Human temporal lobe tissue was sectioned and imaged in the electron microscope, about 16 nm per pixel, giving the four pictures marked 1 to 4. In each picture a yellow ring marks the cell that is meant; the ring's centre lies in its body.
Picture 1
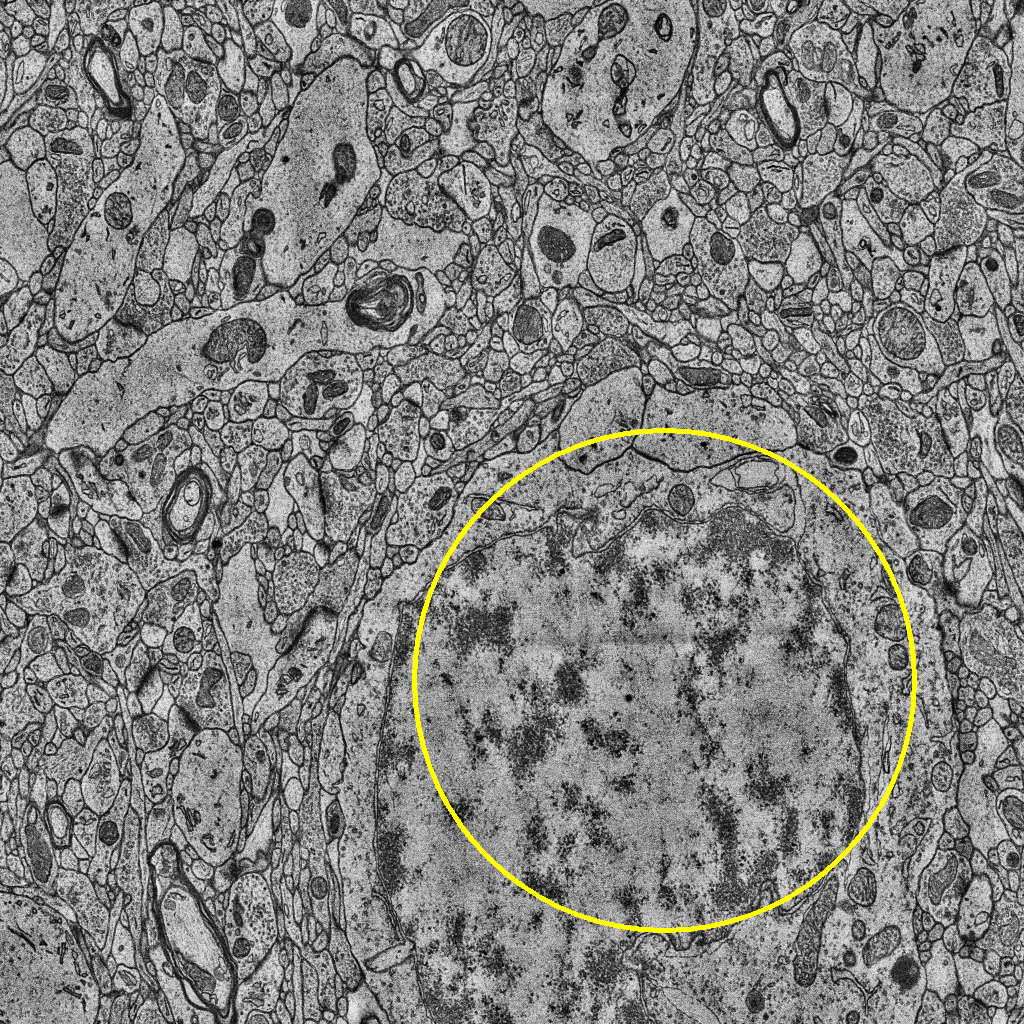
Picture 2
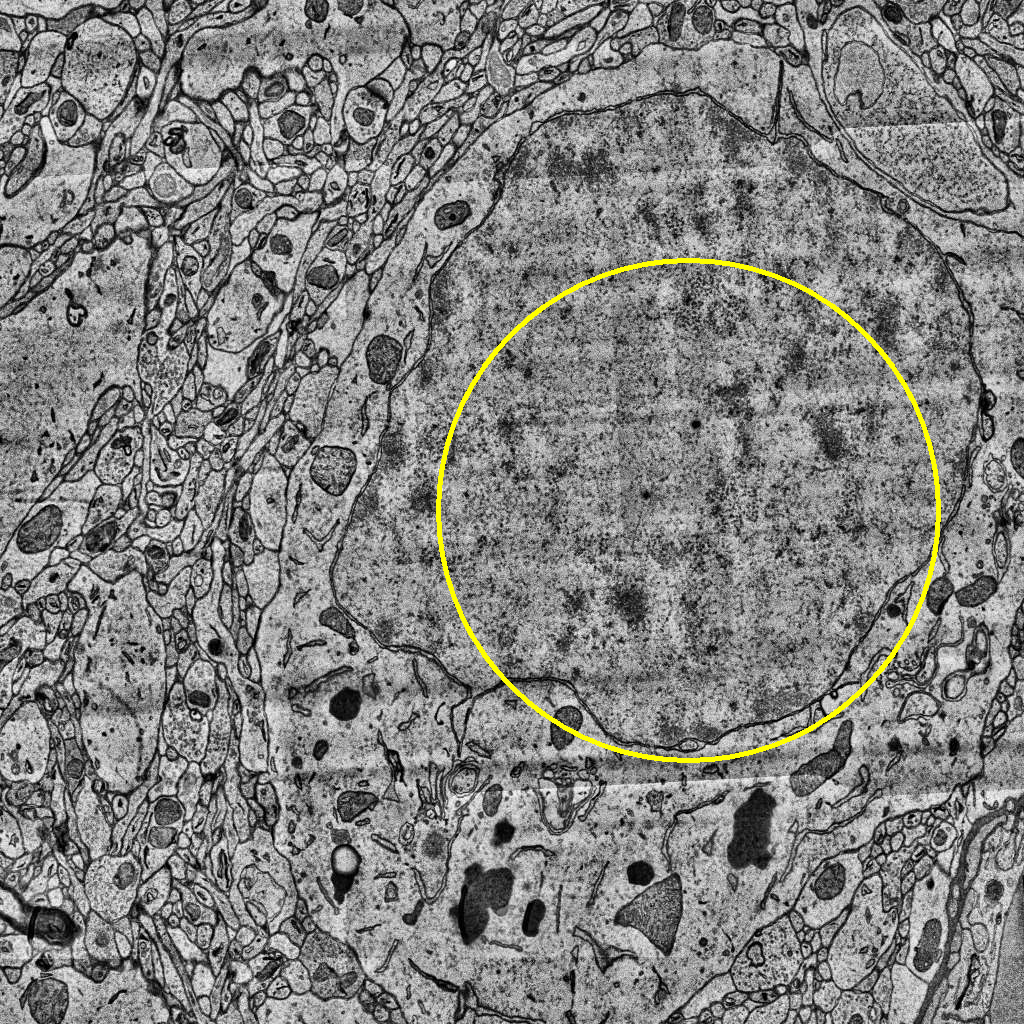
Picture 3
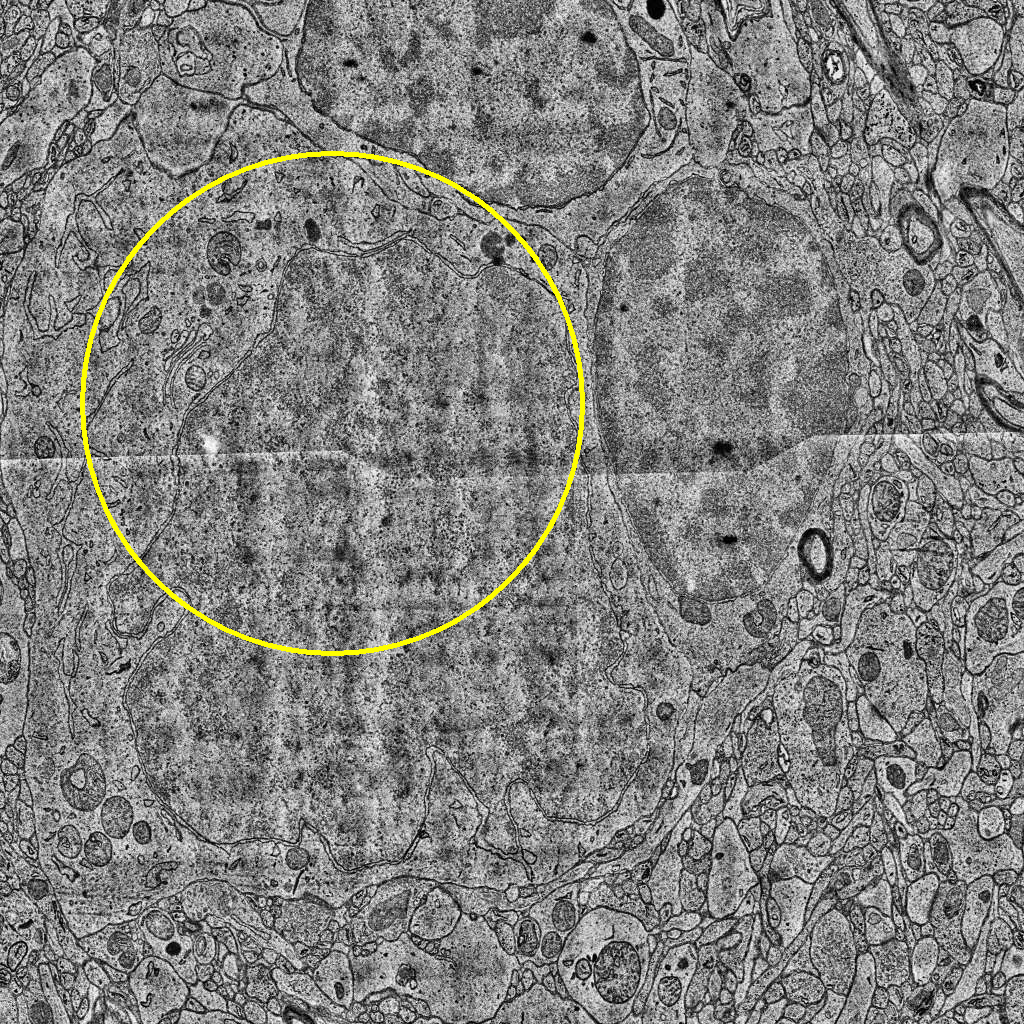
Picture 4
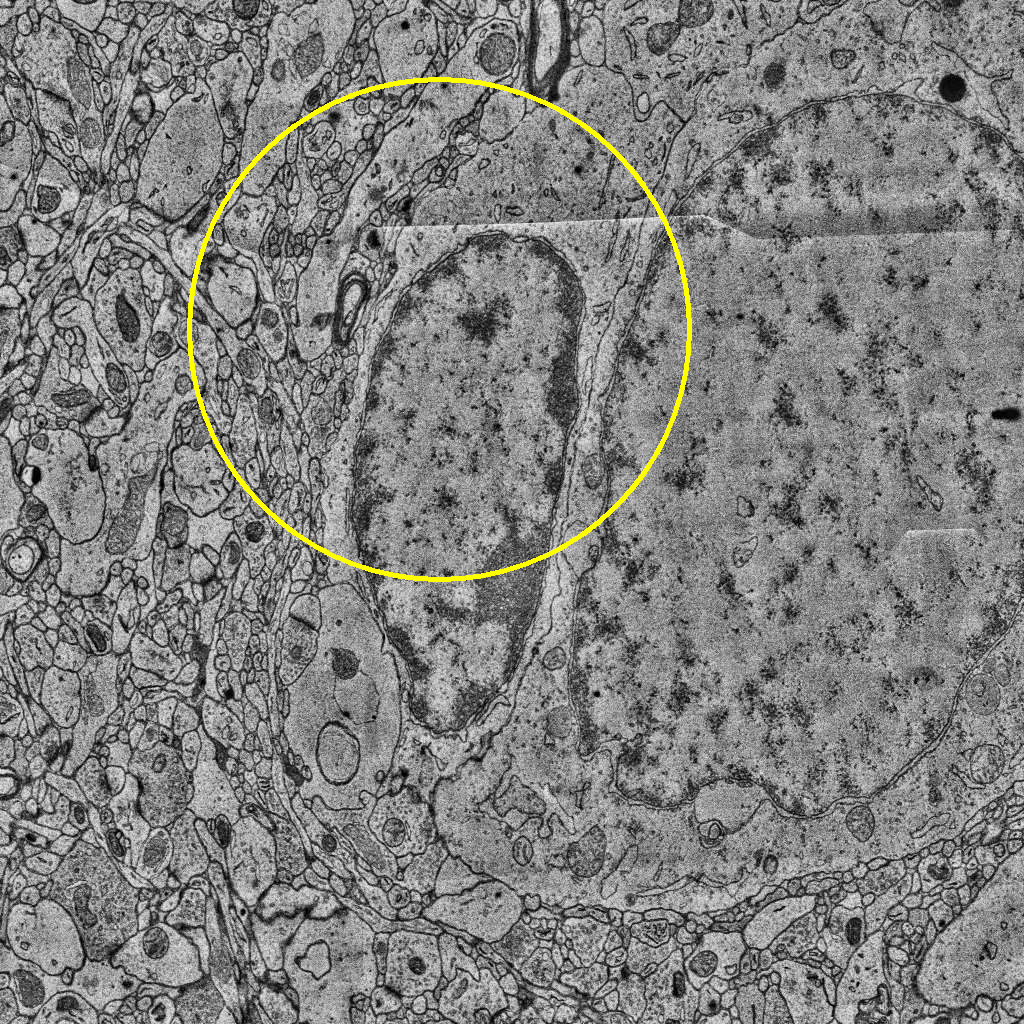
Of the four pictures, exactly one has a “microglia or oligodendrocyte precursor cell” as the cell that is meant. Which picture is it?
Picture 4 is the one that shows the “microglia or oligodendrocyte precursor cell”.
